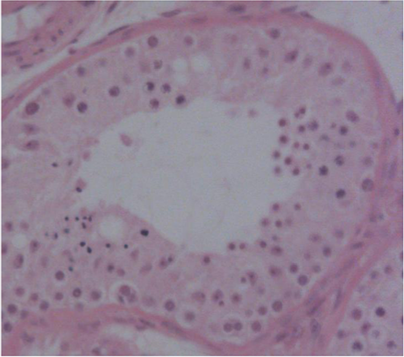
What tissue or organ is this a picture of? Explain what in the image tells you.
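A round tubule bounded by a thin pink wall of flattened cells. The tubule wall is lined by several layers of cells with round nuclei around a central lumen. Small dark, condensed nuclei lie toward the lumen. On this evidence: testicular tissue.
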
